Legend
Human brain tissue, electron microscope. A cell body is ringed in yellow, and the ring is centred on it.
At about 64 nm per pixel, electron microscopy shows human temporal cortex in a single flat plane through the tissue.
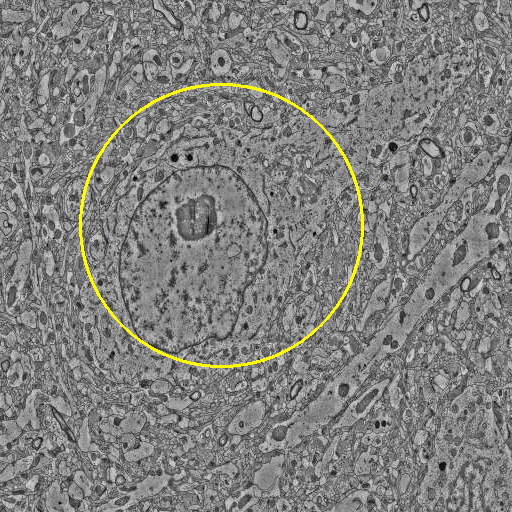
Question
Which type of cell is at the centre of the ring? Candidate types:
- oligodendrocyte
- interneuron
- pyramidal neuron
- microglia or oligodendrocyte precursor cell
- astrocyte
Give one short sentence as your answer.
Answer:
The yellow ring is centred here on a pyramidal neuron.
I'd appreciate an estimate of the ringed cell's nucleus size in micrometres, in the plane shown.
Approximately 12 by 9 micrometers in this plane.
